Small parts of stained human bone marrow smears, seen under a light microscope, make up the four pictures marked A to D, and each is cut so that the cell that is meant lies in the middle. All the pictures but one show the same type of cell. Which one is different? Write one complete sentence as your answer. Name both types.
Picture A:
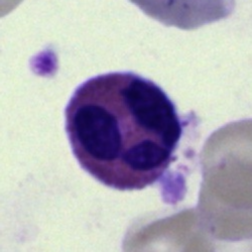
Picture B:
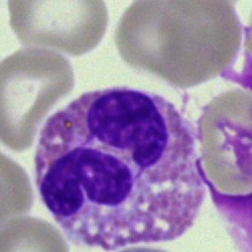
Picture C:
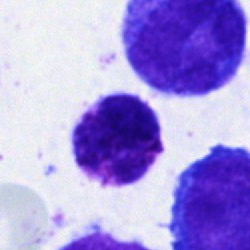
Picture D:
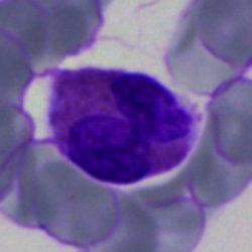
The others show eosinophils, but picture C shows a basophil.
